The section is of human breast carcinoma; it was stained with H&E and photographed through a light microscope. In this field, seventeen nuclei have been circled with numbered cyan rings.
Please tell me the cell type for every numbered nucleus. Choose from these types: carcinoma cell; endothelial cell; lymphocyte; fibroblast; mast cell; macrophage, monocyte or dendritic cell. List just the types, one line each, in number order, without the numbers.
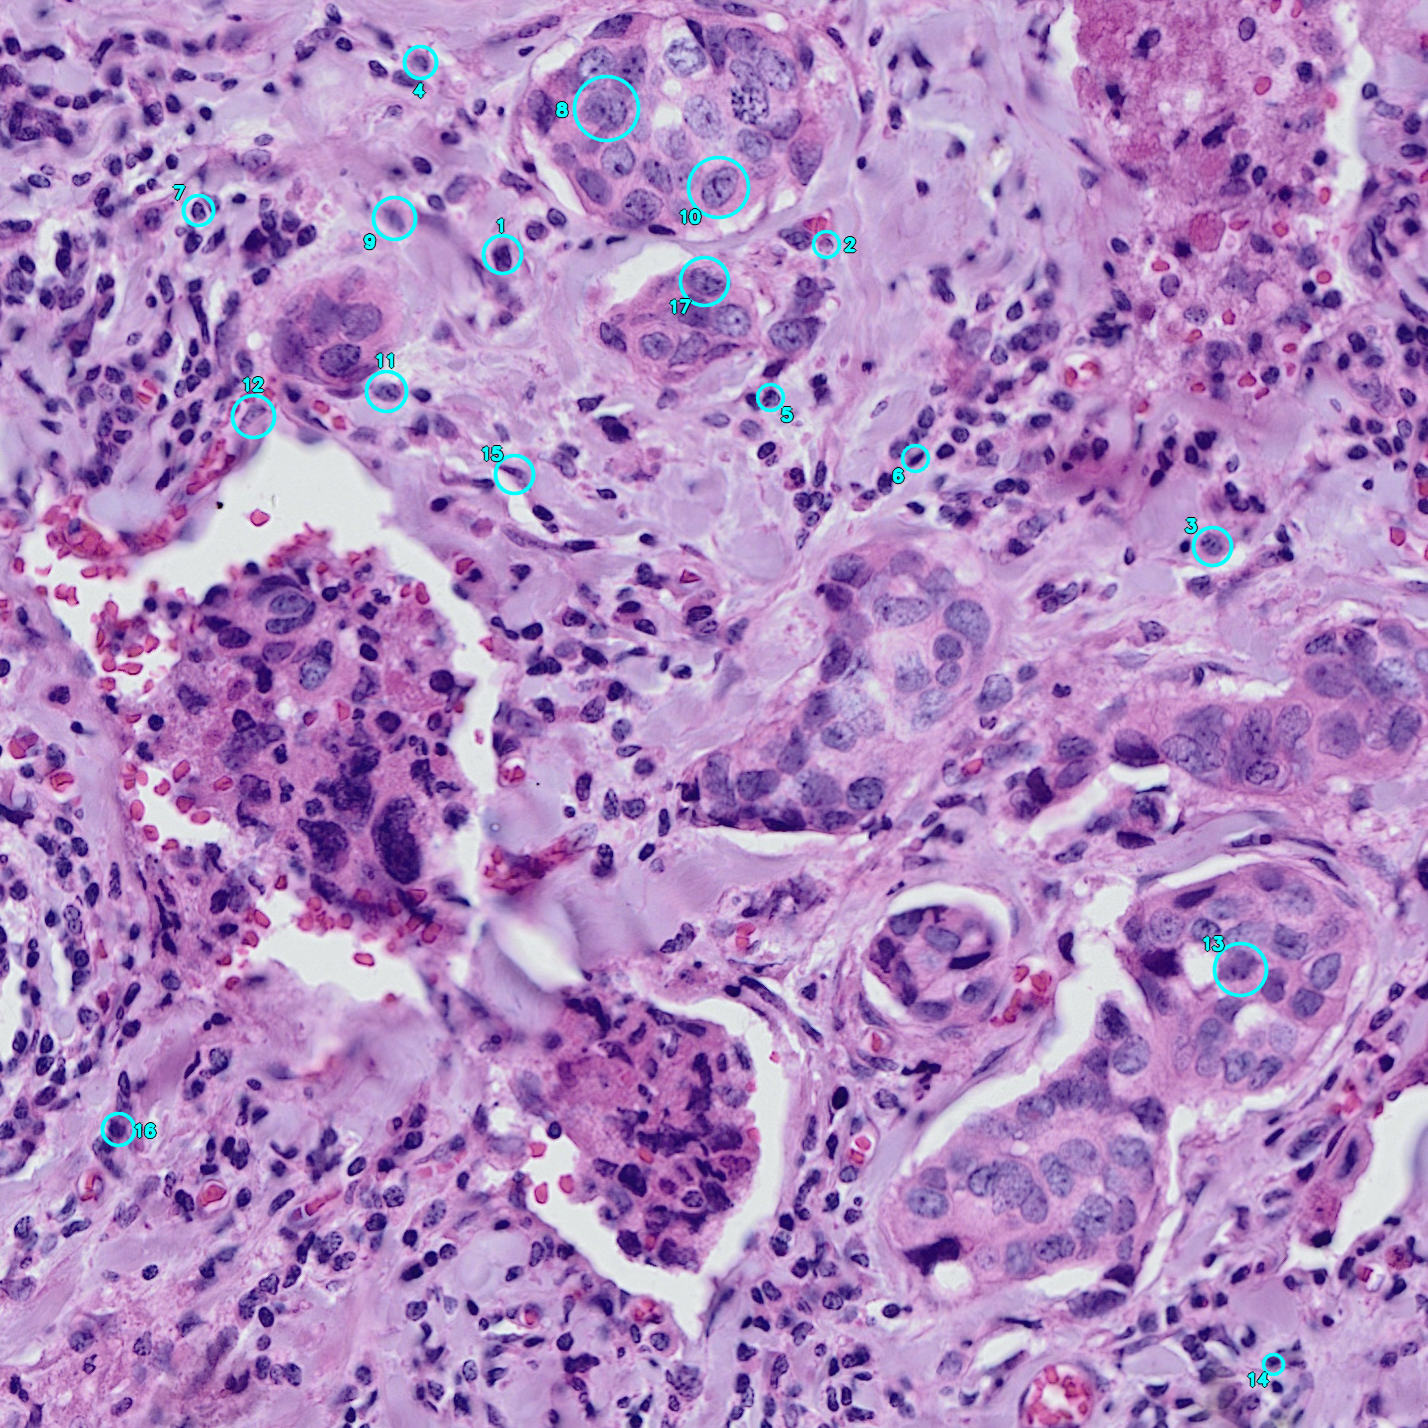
lymphocyte
endothelial cell
mast cell
mast cell
lymphocyte
lymphocyte
lymphocyte
carcinoma cell
mast cell
carcinoma cell
mast cell
endothelial cell
carcinoma cell
lymphocyte
fibroblast
lymphocyte
carcinoma cell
